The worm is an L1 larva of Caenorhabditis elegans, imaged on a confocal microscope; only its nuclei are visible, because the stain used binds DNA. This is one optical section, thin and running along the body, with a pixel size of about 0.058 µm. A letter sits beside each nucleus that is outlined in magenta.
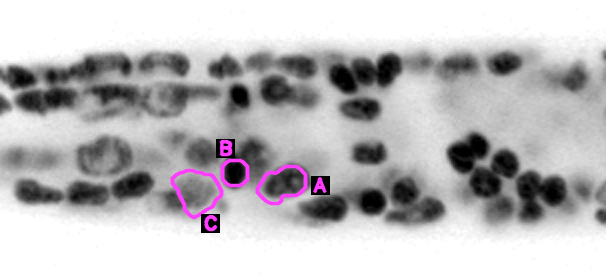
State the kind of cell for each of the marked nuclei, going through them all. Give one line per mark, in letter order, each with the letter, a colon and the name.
A: pharyngeal muscle cell
B: pharyngeal muscle cell
C: hypodermal cell (hyp)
